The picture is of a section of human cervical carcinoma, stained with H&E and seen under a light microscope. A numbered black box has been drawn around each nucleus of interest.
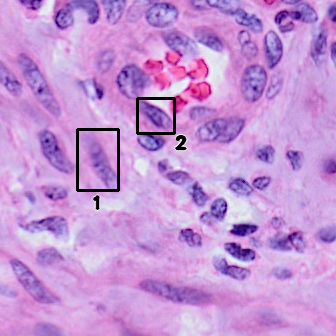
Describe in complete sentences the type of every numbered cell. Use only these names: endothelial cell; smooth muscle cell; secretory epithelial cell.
Cell 1 is a smooth muscle cell. Cell 2 is an endothelial cell.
